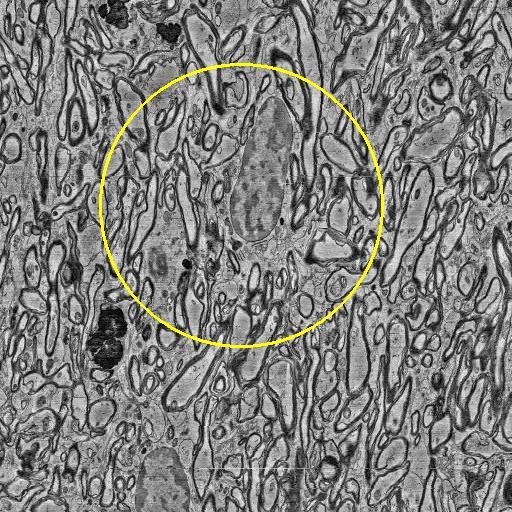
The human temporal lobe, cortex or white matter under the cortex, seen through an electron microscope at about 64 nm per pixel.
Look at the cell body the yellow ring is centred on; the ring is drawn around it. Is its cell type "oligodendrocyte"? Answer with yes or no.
No, its cell type is another.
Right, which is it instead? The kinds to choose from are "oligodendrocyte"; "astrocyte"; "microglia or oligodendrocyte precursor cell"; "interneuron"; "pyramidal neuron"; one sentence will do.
The answer is that the ringed cell is a microglial cell or oligodendrocyte precursor cell.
